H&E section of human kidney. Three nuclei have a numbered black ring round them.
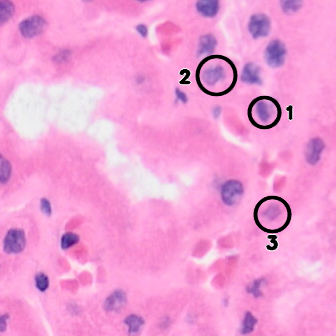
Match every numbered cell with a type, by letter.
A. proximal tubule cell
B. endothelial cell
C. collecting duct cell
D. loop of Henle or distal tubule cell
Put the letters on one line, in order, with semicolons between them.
D; D; A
